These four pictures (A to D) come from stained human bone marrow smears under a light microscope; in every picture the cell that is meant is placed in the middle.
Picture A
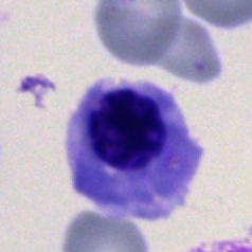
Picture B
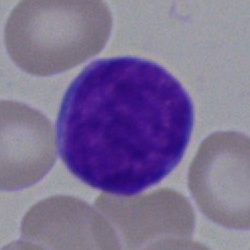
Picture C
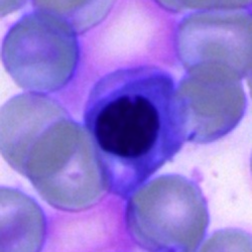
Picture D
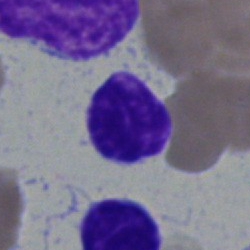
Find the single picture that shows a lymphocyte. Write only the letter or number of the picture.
D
